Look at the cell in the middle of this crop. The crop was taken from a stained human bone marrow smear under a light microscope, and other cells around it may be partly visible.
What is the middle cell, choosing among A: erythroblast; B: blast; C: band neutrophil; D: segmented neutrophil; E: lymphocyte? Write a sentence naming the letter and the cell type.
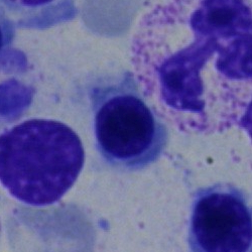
Since the middle cell is an erythroblast, option A is the right one.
